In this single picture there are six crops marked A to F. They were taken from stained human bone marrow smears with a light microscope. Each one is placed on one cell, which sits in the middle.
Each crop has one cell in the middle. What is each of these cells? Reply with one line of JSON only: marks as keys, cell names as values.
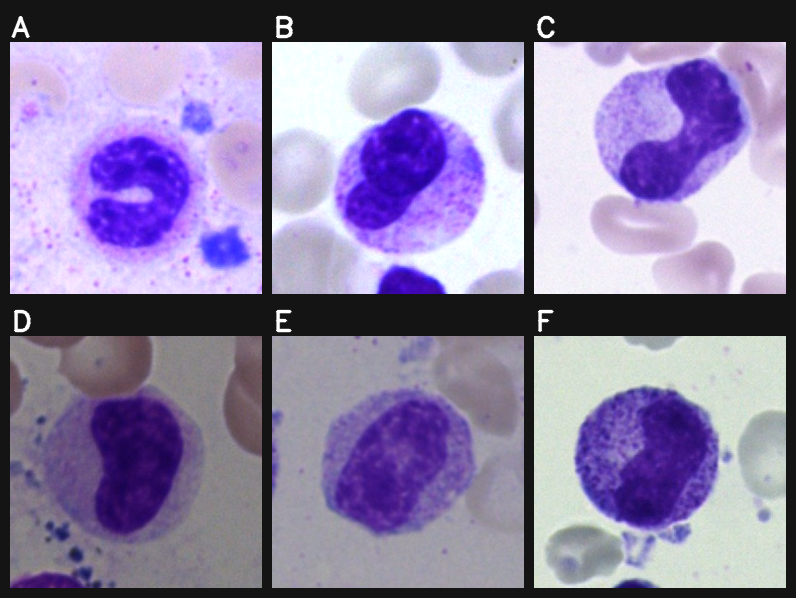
{"A": "band neutrophil", "B": "metamyelocyte", "C": "band neutrophil", "D": "metamyelocyte", "E": "metamyelocyte", "F": "metamyelocyte"}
